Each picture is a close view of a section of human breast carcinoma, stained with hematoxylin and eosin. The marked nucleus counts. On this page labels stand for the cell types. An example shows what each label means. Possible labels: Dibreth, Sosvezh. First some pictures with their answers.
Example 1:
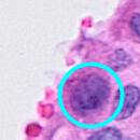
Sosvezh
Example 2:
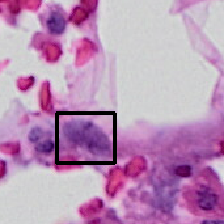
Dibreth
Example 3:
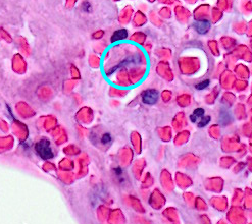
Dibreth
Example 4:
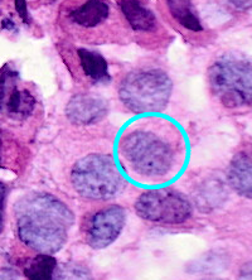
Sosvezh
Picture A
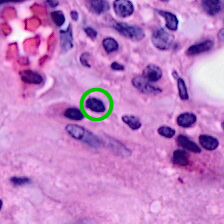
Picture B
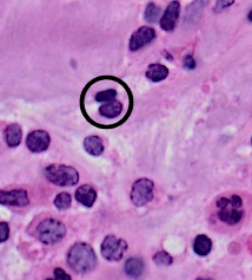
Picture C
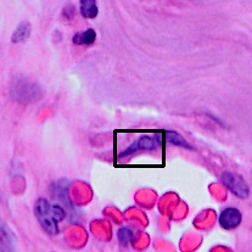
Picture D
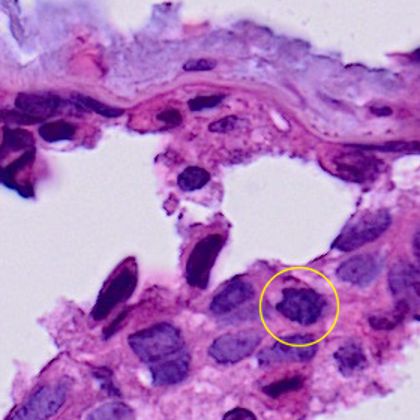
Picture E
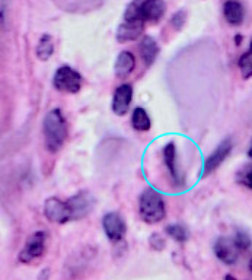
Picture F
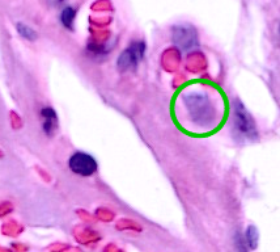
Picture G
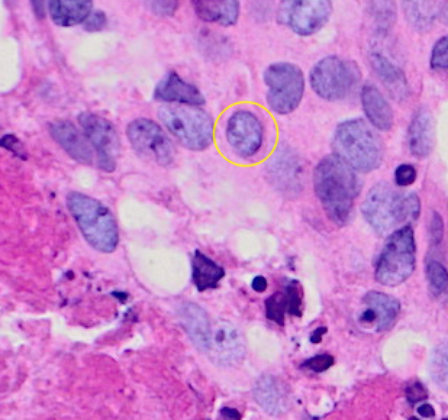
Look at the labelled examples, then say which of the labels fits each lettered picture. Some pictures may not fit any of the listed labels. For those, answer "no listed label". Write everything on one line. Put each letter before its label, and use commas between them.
A no listed label, B no listed label, C Dibreth, D Sosvezh, E no listed label, F Dibreth, G Sosvezh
